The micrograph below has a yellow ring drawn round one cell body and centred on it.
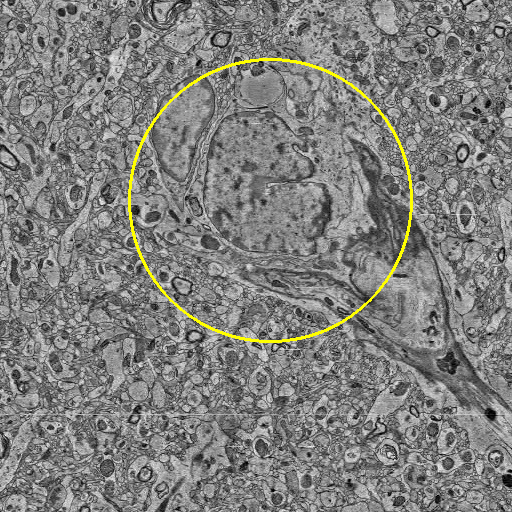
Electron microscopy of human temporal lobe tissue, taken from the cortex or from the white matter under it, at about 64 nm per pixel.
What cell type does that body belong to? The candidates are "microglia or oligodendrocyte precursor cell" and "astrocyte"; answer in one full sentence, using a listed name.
This is a microglial cell or oligodendrocyte precursor cell, the cell whose body lies at the centre of the ring.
